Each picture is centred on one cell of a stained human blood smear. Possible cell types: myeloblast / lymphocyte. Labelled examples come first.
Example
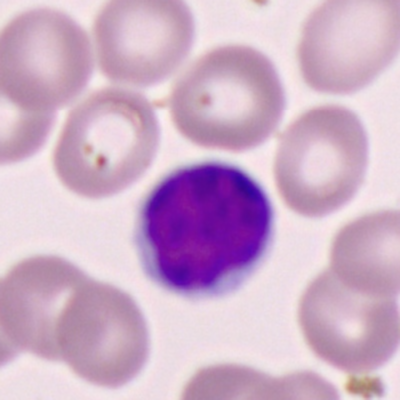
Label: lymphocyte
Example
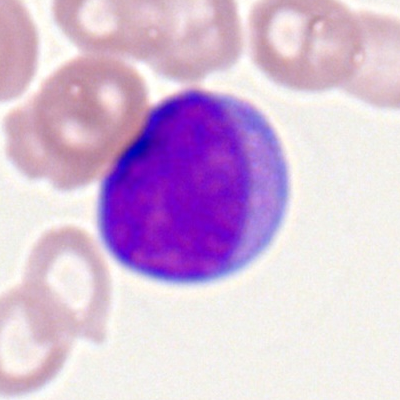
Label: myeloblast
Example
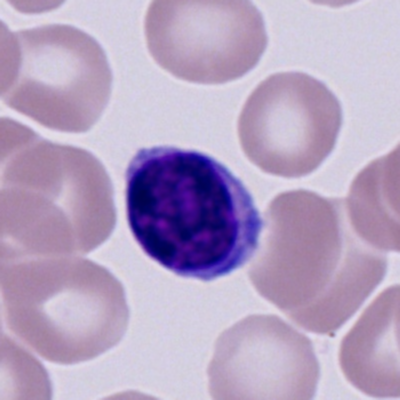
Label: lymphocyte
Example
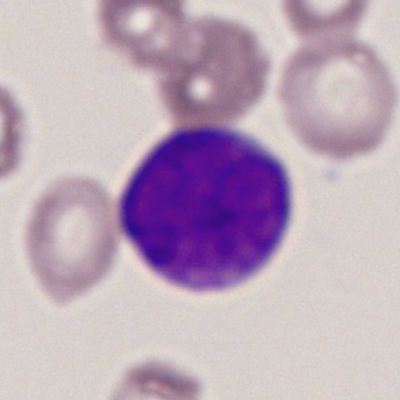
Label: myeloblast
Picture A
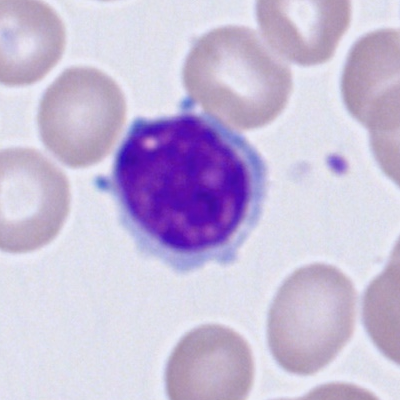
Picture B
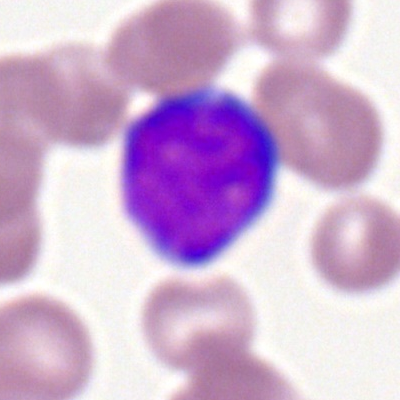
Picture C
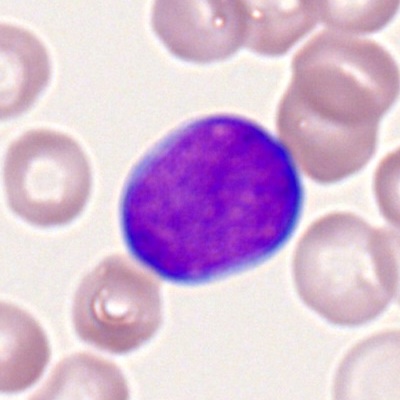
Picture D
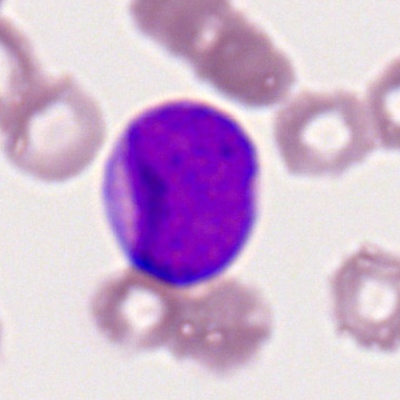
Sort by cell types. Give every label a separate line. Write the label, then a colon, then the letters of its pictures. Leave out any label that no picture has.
myeloblast: B, C, D
lymphocyte: A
